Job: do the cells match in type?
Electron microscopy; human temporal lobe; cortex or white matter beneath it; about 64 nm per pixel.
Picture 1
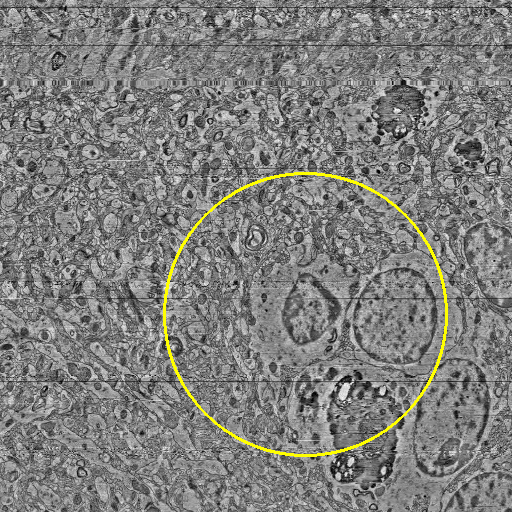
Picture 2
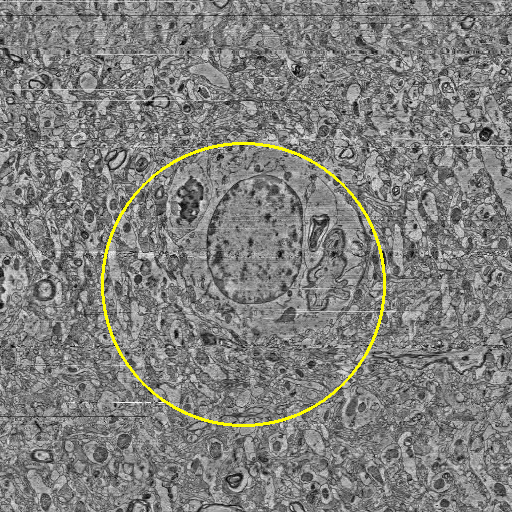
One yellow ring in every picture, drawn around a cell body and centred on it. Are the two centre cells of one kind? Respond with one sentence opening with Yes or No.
Yes, the ringed cells in the two pictures are of one and the same kind.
